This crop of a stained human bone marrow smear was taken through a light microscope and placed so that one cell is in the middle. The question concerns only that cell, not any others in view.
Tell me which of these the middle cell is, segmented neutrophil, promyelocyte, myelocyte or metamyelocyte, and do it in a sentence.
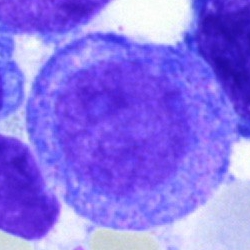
By type, the central cell of the crop is a promyelocyte.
